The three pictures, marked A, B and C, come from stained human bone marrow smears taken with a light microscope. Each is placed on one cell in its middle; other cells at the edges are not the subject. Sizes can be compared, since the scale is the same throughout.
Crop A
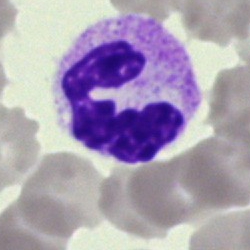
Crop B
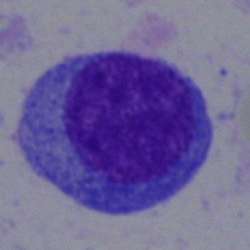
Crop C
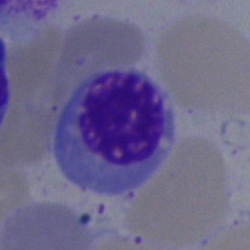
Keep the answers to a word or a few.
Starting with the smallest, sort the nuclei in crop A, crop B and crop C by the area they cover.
C, A, B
